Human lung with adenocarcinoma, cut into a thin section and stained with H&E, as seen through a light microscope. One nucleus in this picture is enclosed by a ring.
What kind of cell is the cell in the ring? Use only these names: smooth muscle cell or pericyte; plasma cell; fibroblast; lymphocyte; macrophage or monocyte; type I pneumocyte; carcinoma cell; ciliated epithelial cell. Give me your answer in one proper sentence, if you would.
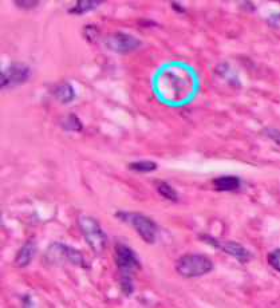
On this particular slide, the cell in the ring is a smooth muscle cell or pericyte.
